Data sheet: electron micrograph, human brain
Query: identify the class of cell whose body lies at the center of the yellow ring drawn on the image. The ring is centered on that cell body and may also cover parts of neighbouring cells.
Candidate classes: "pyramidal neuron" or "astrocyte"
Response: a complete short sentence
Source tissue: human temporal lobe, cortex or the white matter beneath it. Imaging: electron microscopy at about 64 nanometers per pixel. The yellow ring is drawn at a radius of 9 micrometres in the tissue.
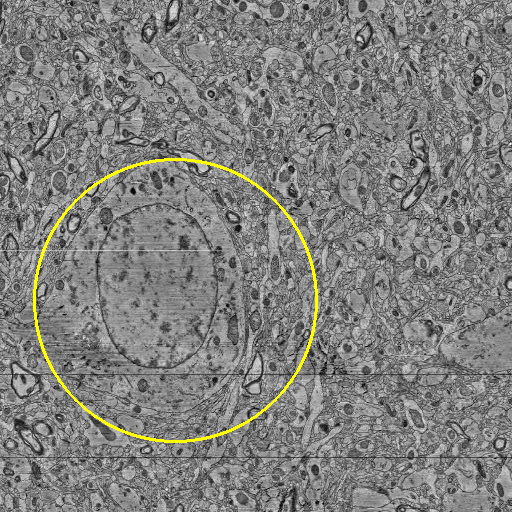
At the center of the ring lies a pyramidal neuron.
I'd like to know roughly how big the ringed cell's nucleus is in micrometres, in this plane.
In this plane the nucleus measures roughly 11 by 8 micrometers.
